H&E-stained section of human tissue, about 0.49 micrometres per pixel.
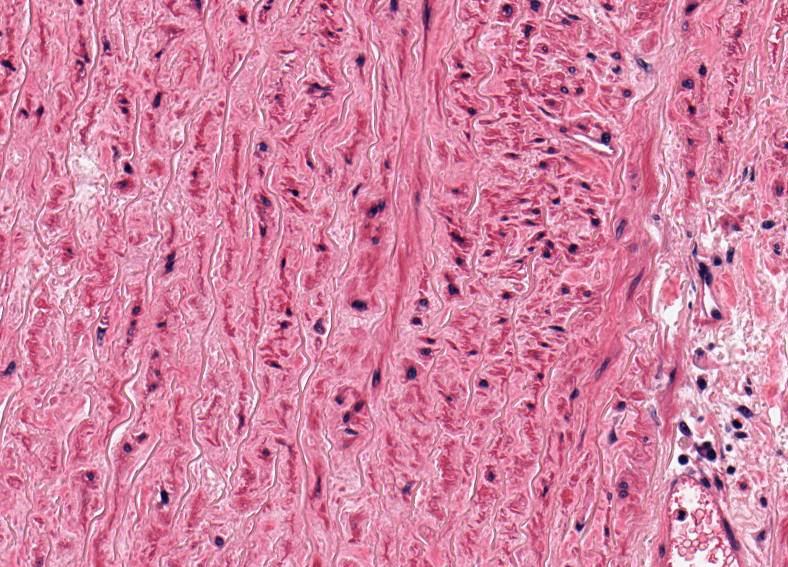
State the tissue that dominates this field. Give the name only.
tunica media of an artery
